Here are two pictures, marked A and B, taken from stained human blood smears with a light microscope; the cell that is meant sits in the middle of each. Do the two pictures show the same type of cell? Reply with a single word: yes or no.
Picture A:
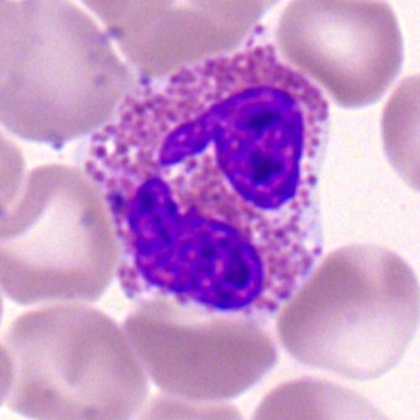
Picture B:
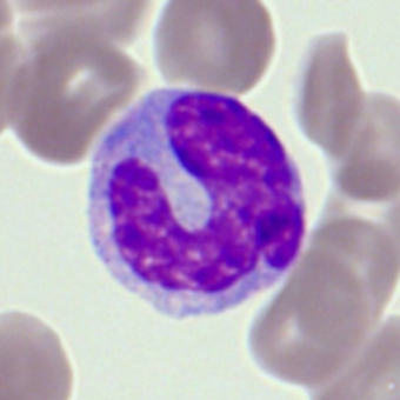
no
